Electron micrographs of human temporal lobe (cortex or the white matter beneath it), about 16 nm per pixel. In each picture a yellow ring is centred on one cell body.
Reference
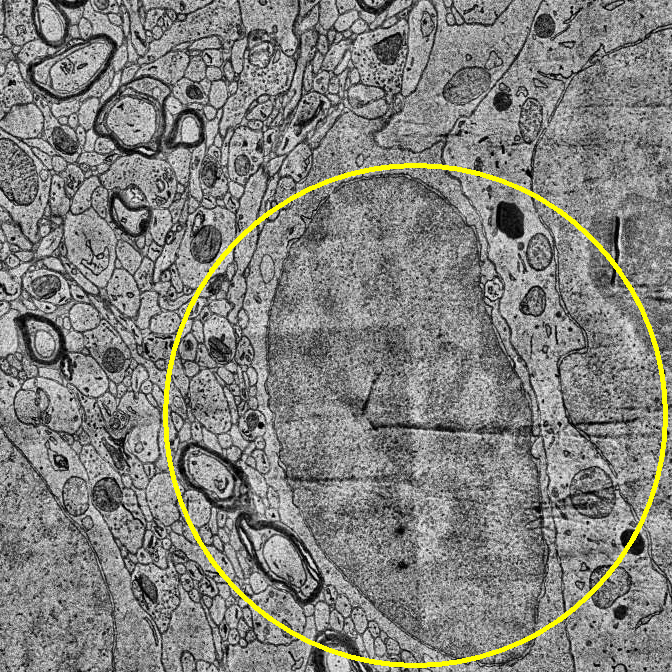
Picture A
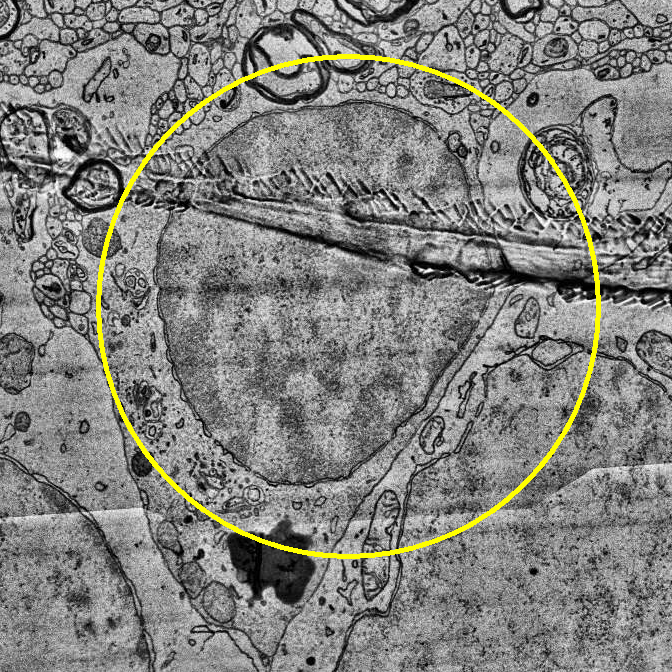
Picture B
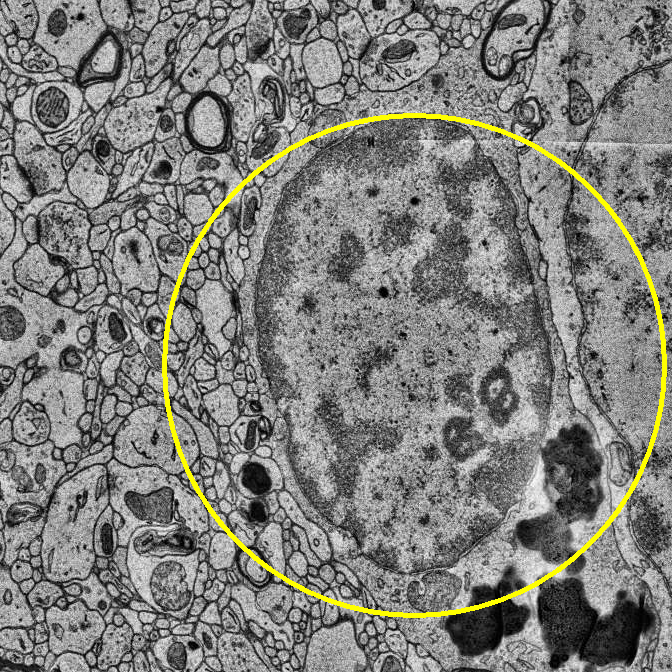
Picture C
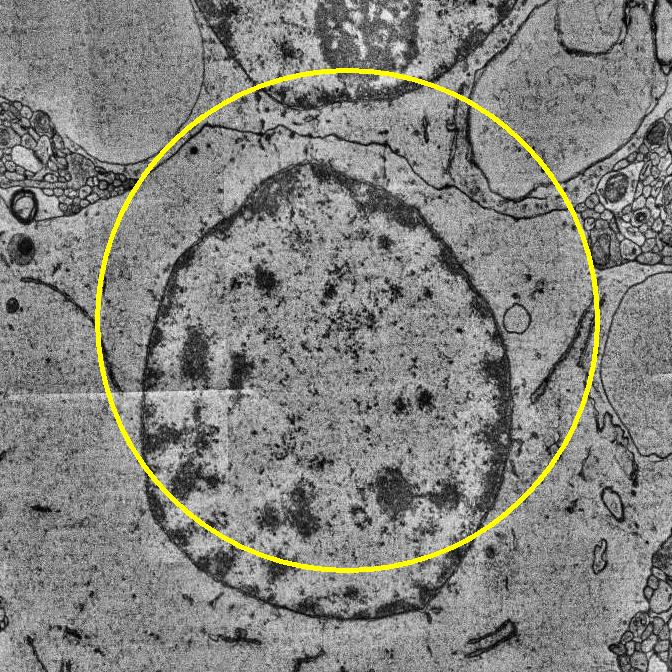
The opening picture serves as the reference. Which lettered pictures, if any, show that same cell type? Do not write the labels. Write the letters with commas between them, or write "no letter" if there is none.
A, B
